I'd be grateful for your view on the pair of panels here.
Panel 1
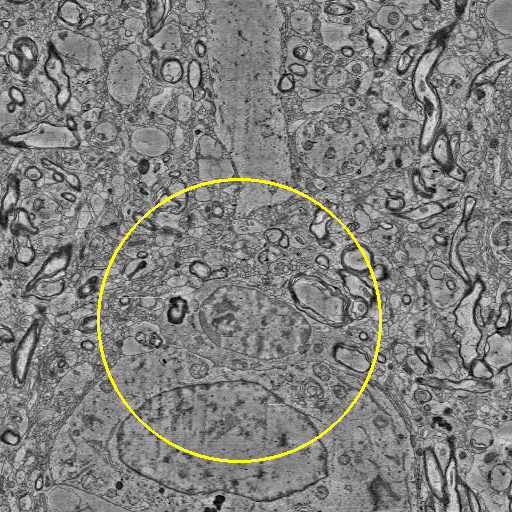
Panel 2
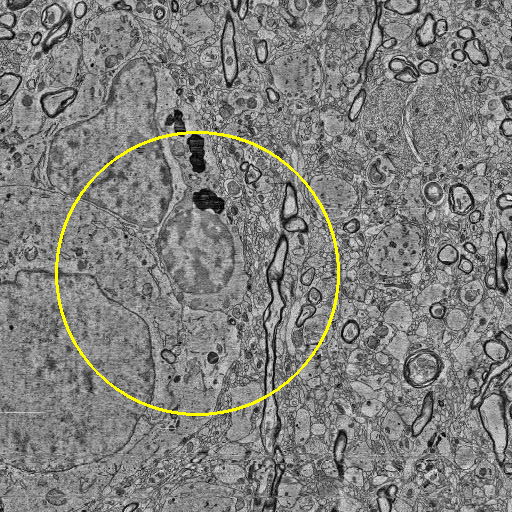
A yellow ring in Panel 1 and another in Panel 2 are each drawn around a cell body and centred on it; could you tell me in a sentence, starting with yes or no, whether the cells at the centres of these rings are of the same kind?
Yes, they are the same kind of cell.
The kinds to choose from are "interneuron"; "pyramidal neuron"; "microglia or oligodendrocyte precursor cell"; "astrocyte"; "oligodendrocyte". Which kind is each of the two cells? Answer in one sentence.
Each of the two rings surrounds an oligodendrocyte.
